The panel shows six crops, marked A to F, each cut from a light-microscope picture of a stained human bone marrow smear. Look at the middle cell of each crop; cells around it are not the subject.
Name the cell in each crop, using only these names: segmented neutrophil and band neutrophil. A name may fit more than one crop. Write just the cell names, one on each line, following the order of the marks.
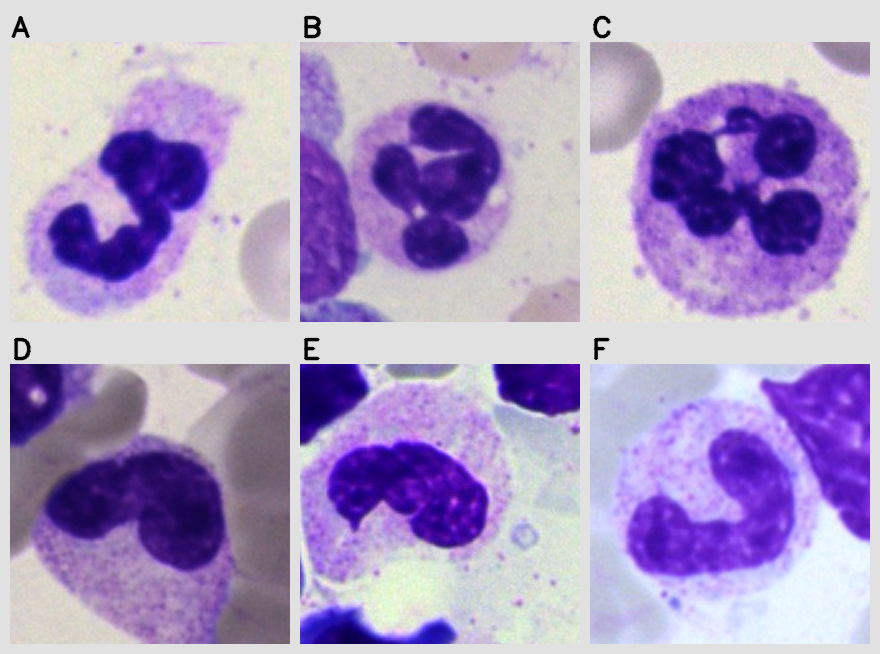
segmented neutrophil
segmented neutrophil
segmented neutrophil
band neutrophil
band neutrophil
band neutrophil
